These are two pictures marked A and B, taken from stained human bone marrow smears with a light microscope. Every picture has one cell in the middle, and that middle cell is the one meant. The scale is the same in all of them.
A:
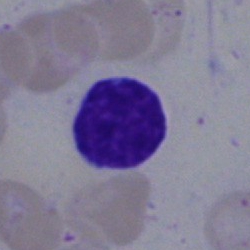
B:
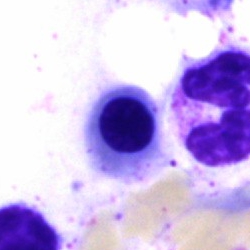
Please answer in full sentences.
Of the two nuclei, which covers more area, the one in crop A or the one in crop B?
The nucleus in crop A is larger, with about 2.5 times the area of the one in crop B.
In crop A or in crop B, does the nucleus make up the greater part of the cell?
The nucleus fills more of the cell in crop A than in crop B.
